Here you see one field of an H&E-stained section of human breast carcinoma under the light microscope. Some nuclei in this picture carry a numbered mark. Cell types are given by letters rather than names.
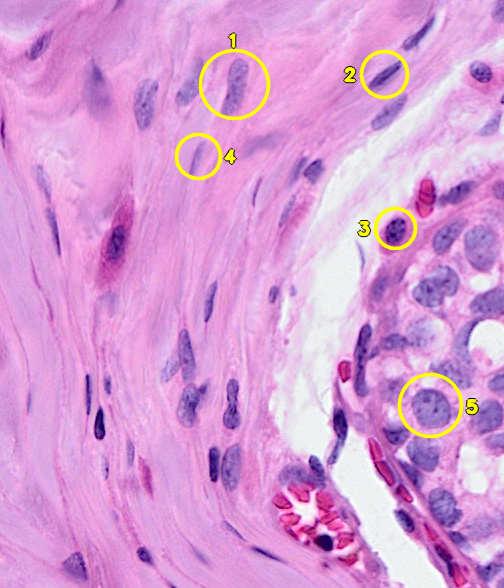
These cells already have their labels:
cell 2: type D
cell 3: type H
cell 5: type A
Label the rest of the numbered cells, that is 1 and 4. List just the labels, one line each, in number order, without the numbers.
type D
type D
